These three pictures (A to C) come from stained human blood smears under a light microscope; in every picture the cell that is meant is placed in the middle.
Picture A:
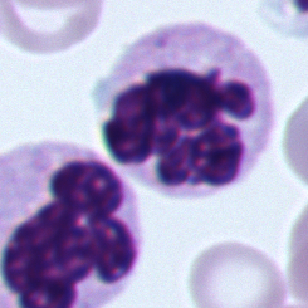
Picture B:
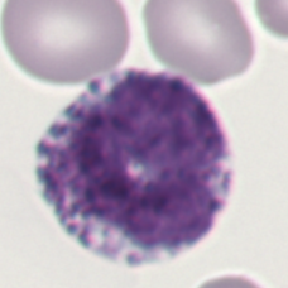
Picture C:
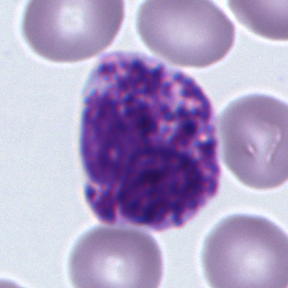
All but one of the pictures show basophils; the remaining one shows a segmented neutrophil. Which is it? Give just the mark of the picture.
A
